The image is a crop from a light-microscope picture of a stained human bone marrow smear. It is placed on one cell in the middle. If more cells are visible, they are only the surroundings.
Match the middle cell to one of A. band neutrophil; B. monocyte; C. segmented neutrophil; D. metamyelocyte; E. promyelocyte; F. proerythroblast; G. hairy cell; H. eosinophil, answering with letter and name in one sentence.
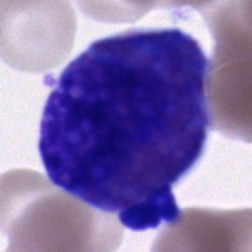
Seen at the centre of the crop is an eosinophil, so option H is correct.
